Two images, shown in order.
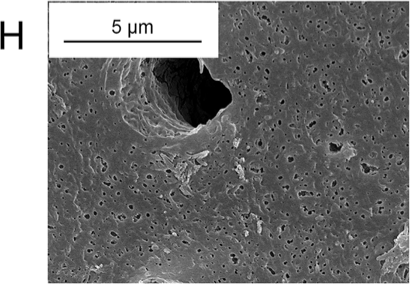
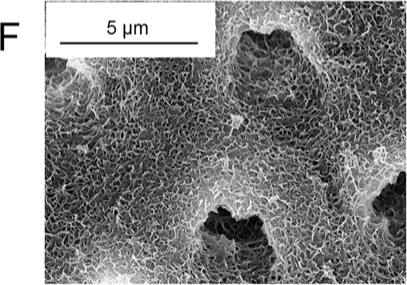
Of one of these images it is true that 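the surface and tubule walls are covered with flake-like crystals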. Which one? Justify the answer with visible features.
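The second image. First image: the surface is smooth with small pores and no crystal covering around the tubule opening. Second image: a dense mesh of thin flakes covers the surface and the tubule walls.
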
